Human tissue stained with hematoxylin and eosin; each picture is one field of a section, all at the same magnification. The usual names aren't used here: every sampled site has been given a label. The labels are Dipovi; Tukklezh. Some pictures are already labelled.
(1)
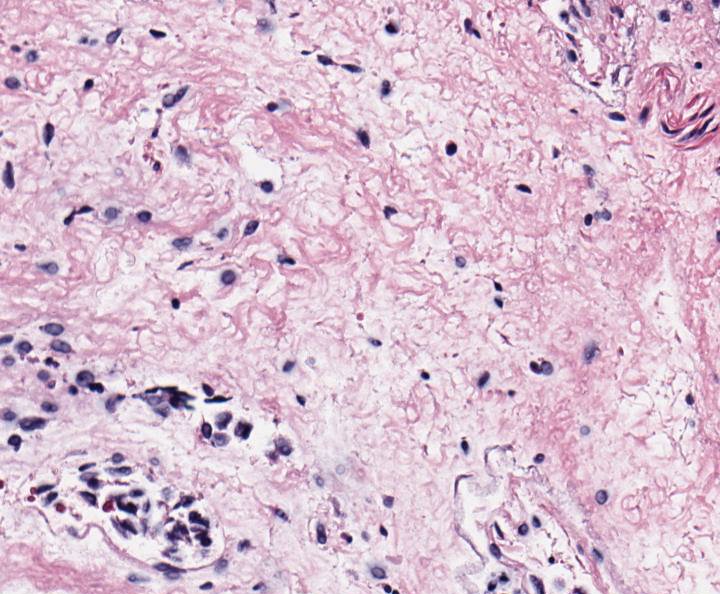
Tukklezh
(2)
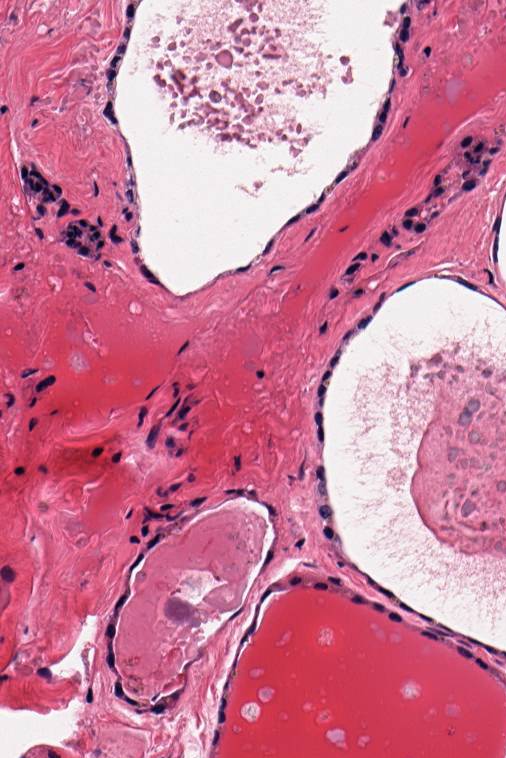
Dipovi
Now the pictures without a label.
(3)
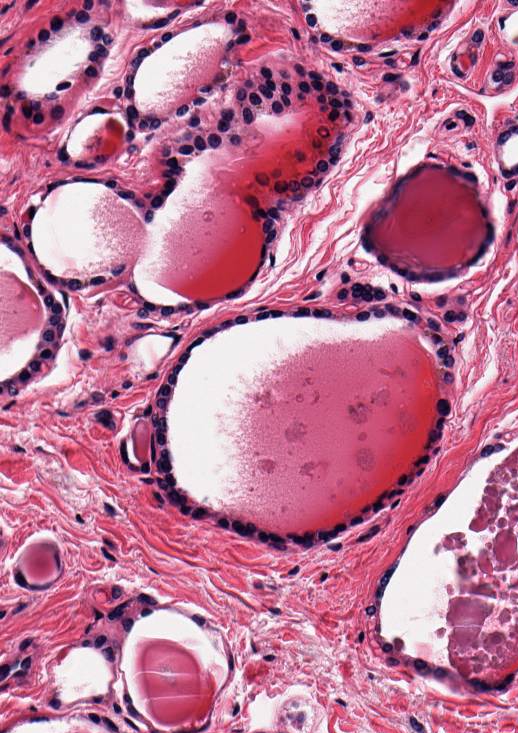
Dipovi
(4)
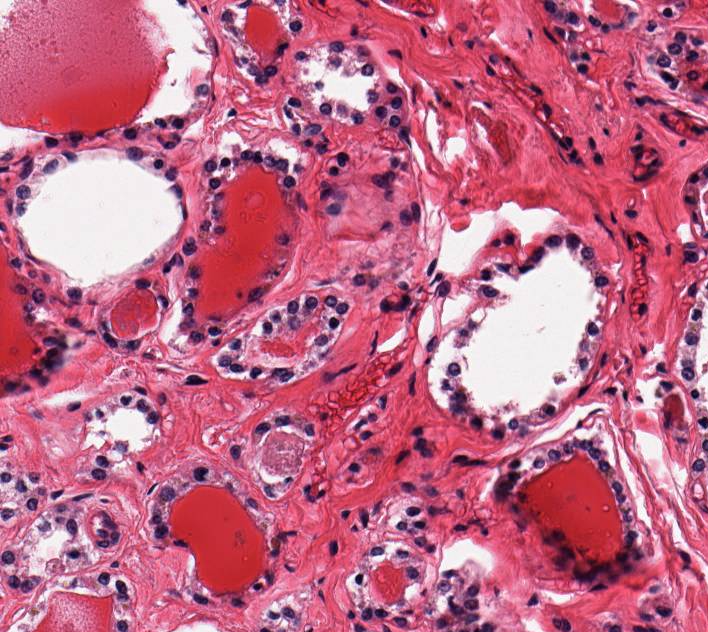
Dipovi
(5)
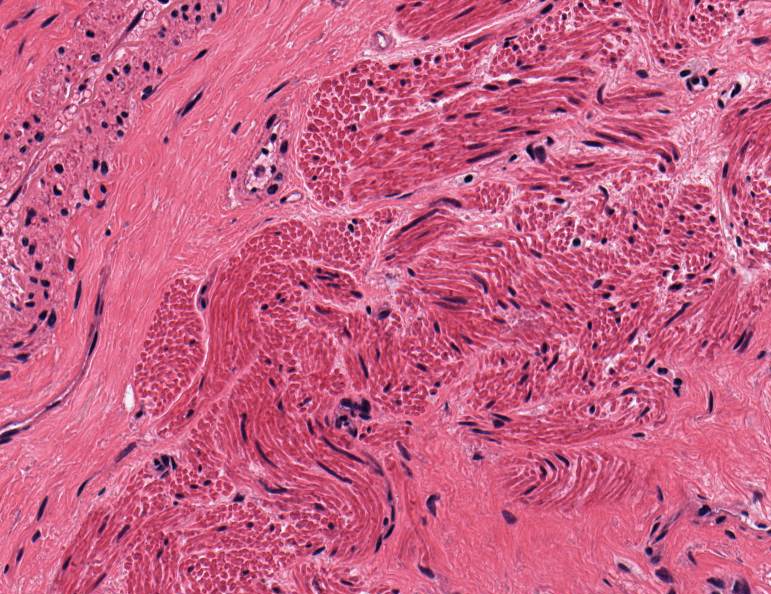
Tukklezh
